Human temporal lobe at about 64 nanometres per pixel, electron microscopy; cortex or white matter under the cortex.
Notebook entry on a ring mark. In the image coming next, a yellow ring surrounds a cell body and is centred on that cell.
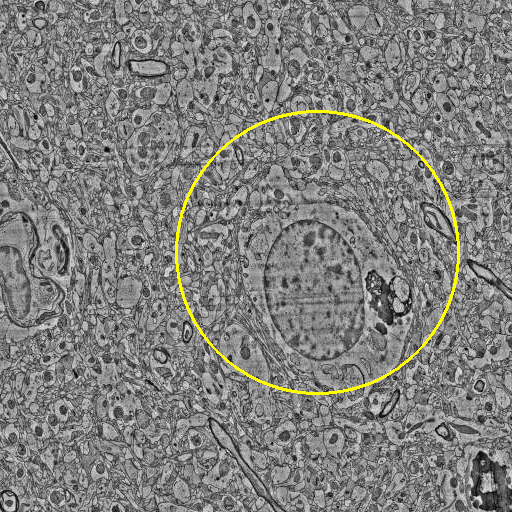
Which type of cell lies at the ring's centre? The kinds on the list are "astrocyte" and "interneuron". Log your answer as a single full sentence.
Centred in the yellow ring is an astrocyte, the cell recorded for this image.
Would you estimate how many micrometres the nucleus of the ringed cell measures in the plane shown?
About 9 by 6 micrometres in this plane.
